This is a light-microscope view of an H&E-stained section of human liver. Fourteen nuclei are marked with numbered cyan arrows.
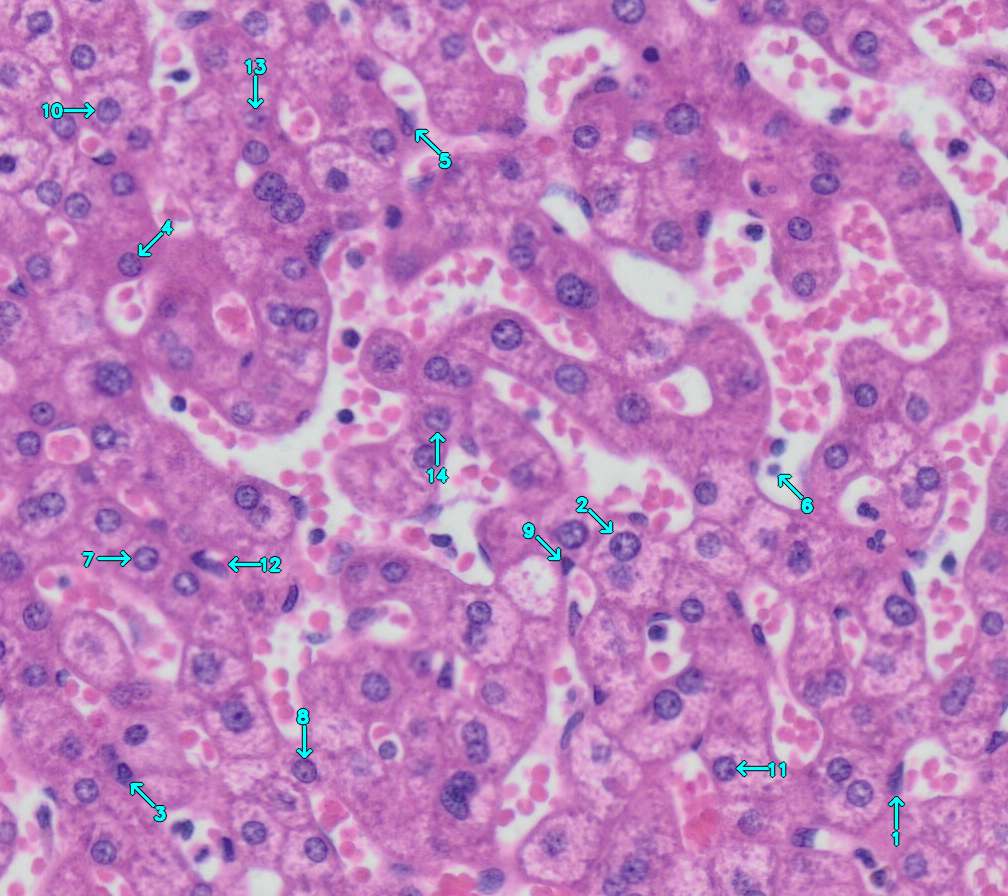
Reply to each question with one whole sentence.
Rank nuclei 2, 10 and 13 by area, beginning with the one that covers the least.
By area, going up from the smallest, they rank 13, 10, 2.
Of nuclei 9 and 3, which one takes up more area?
Nucleus 3 is the larger one, covering about 1.5 times the area of nucleus 9.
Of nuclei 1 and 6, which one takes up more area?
Number 1 is larger; its area is about 2.5 times that of number 6.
